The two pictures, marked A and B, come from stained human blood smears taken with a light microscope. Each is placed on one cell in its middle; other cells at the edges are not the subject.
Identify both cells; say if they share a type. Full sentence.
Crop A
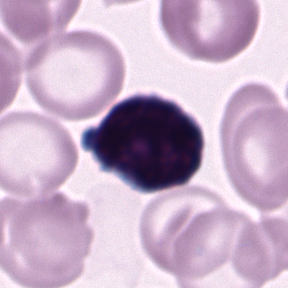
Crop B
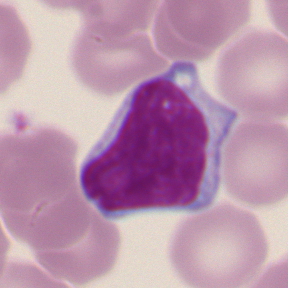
Yes, that is right, both crops show typical lymphocytes.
